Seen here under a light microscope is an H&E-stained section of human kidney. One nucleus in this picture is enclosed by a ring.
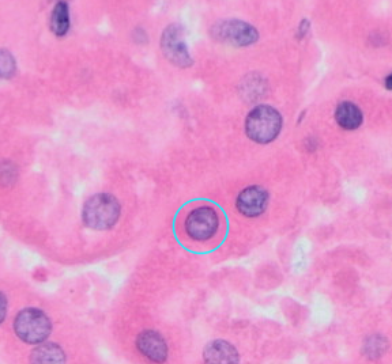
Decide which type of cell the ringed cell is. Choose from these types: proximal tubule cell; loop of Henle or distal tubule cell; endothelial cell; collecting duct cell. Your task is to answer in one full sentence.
Speaking plainly, the ringed cell is nothing other than a proximal tubule cell.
